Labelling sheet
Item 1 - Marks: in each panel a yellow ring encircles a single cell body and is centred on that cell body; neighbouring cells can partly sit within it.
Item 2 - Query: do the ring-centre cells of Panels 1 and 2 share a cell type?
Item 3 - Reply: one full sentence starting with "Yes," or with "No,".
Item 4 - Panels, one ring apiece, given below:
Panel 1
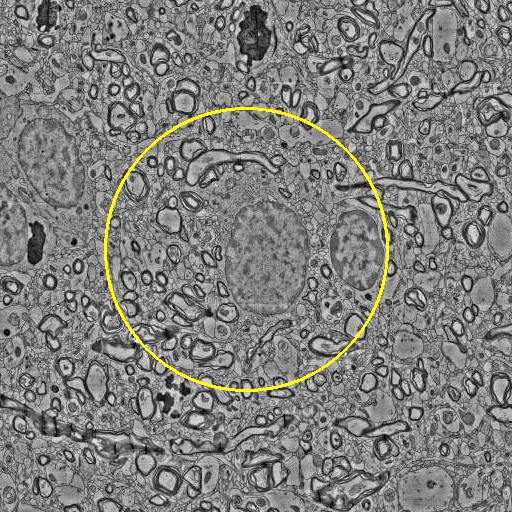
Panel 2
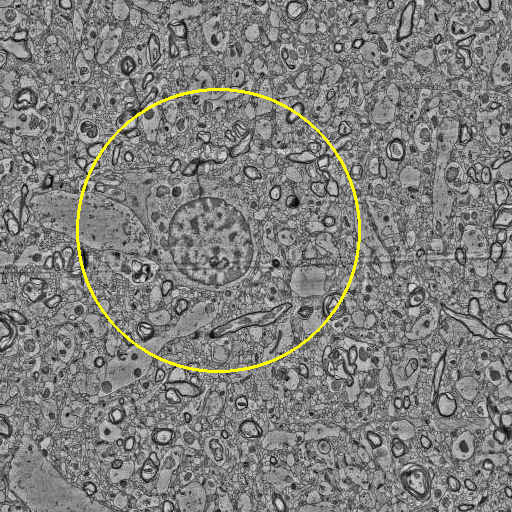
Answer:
Yes, Panel 1 and Panel 2 show one cell type at the centres of their rings.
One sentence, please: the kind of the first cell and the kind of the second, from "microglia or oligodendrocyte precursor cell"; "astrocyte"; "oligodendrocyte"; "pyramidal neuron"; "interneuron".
Each of the two cells is an oligodendrocyte.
